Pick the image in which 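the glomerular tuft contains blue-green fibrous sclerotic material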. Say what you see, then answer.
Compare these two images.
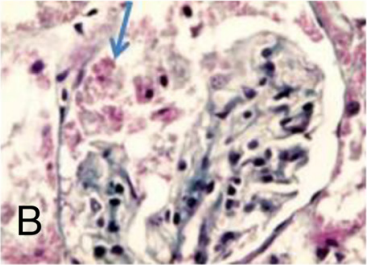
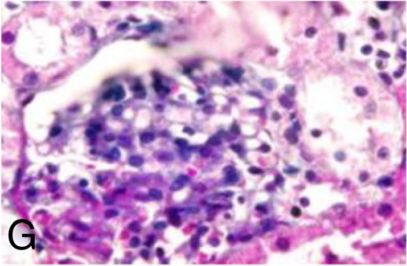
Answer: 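First image: broad blue-green fibrous strands occupy much of the tuft. That points to this answer: the first image.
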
